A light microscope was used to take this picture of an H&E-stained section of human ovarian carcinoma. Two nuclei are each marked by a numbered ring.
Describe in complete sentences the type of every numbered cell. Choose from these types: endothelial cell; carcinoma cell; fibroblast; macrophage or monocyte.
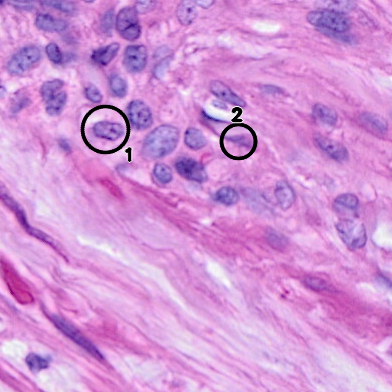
Cell 1 is a macrophage or monocyte and cell 2 is a fibroblast.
